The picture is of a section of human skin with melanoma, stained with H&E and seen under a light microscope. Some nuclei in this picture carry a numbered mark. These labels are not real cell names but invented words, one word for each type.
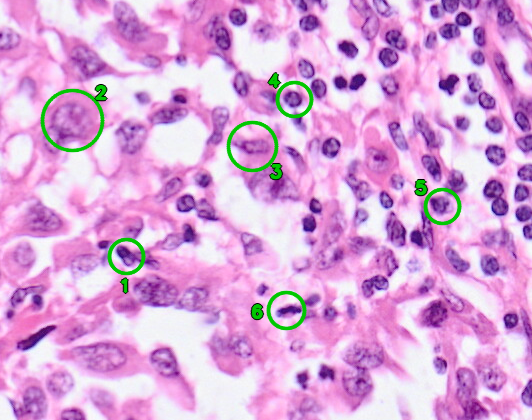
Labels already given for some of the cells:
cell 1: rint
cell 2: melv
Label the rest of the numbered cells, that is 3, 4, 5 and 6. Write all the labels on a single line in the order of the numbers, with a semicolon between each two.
melv; rint; rint; rint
